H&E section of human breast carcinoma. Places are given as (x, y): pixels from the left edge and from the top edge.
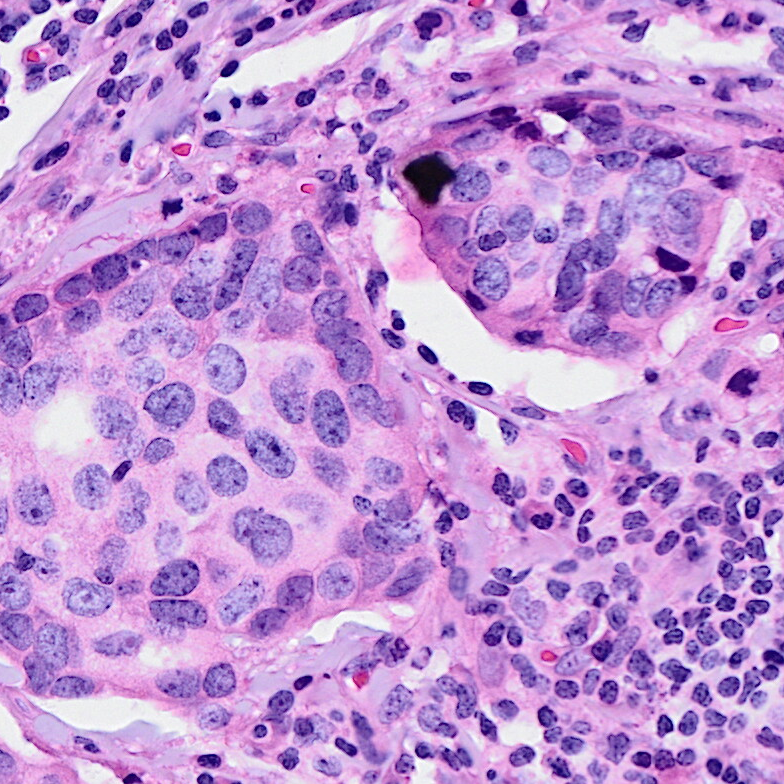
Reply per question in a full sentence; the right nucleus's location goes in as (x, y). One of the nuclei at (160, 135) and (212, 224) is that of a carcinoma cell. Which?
The nucleus at (212, 224) is identified as belonging to a carcinoma cell.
